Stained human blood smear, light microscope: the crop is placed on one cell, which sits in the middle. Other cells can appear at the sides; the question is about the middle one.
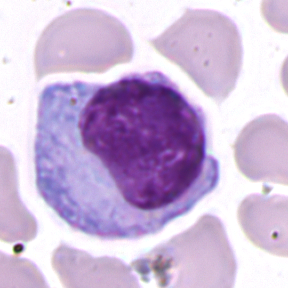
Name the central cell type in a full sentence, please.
As for the central cell, it is a plasma cell.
